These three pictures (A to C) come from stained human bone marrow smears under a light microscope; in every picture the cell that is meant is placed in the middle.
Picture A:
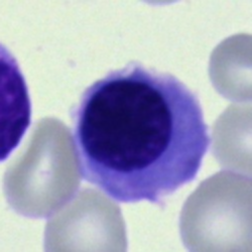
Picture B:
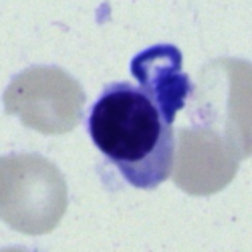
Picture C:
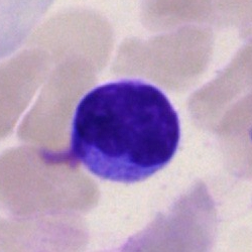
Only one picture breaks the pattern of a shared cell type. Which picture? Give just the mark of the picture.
C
